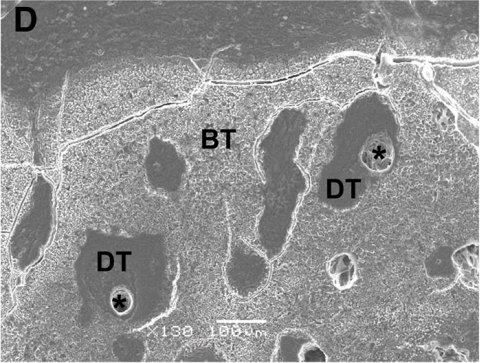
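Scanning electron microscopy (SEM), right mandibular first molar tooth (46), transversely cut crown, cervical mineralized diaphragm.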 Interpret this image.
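A finely granular, brighter tissue forms the bulk of the field, and within it lie irregular, elongated or rounded islands of smoother, darker tissue. In two of the darker islands a round lumen with a bright rim is seen, representing a vessel. Along the top a band of smooth dentin borders the granular tissue, and cracks run through the field. Several smaller dark islands contain no visible lumen.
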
